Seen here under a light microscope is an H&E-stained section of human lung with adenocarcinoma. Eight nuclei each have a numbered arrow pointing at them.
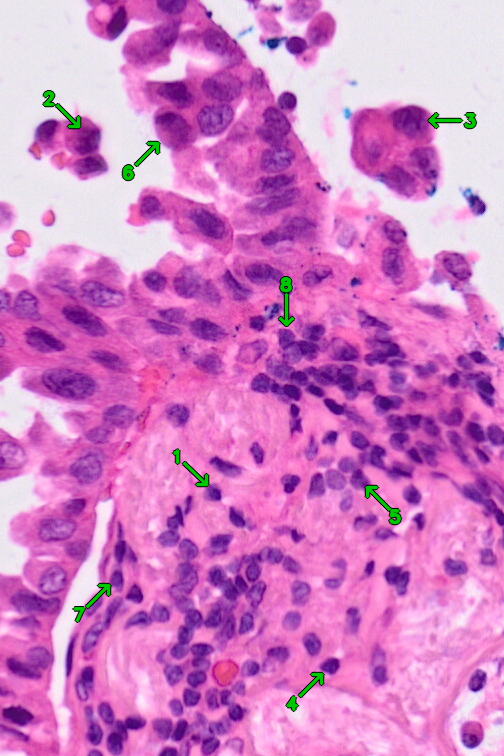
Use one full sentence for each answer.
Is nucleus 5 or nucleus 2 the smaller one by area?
Nucleus 5 covers less area, with nucleus 2 about 3 times as large.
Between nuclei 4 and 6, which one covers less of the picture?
Number 4 is smaller, since number 6 takes up about 3 times as much area.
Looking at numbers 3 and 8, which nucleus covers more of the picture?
The larger nucleus is 3, at roughly 3 times the area of 8.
